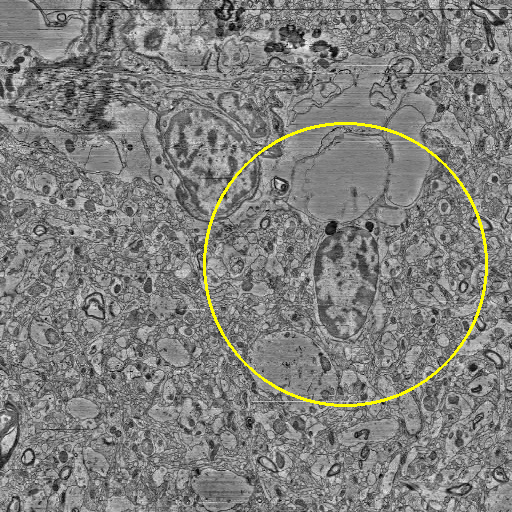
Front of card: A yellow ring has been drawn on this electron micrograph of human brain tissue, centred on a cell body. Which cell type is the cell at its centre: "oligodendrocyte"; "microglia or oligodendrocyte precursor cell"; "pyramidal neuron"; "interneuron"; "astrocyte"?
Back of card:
microglia or oligodendrocyte precursor cell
